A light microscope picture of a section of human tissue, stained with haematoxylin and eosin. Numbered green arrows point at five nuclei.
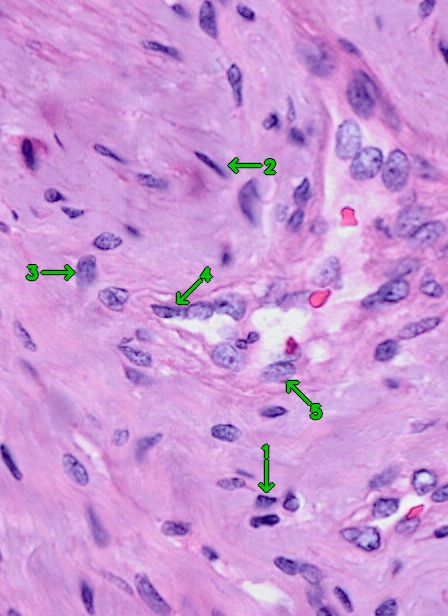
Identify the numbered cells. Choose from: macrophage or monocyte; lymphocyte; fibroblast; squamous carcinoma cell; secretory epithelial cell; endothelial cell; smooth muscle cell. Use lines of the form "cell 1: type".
cell 1: fibroblast
cell 2: fibroblast
cell 3: fibroblast
cell 4: endothelial cell
cell 5: endothelial cell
